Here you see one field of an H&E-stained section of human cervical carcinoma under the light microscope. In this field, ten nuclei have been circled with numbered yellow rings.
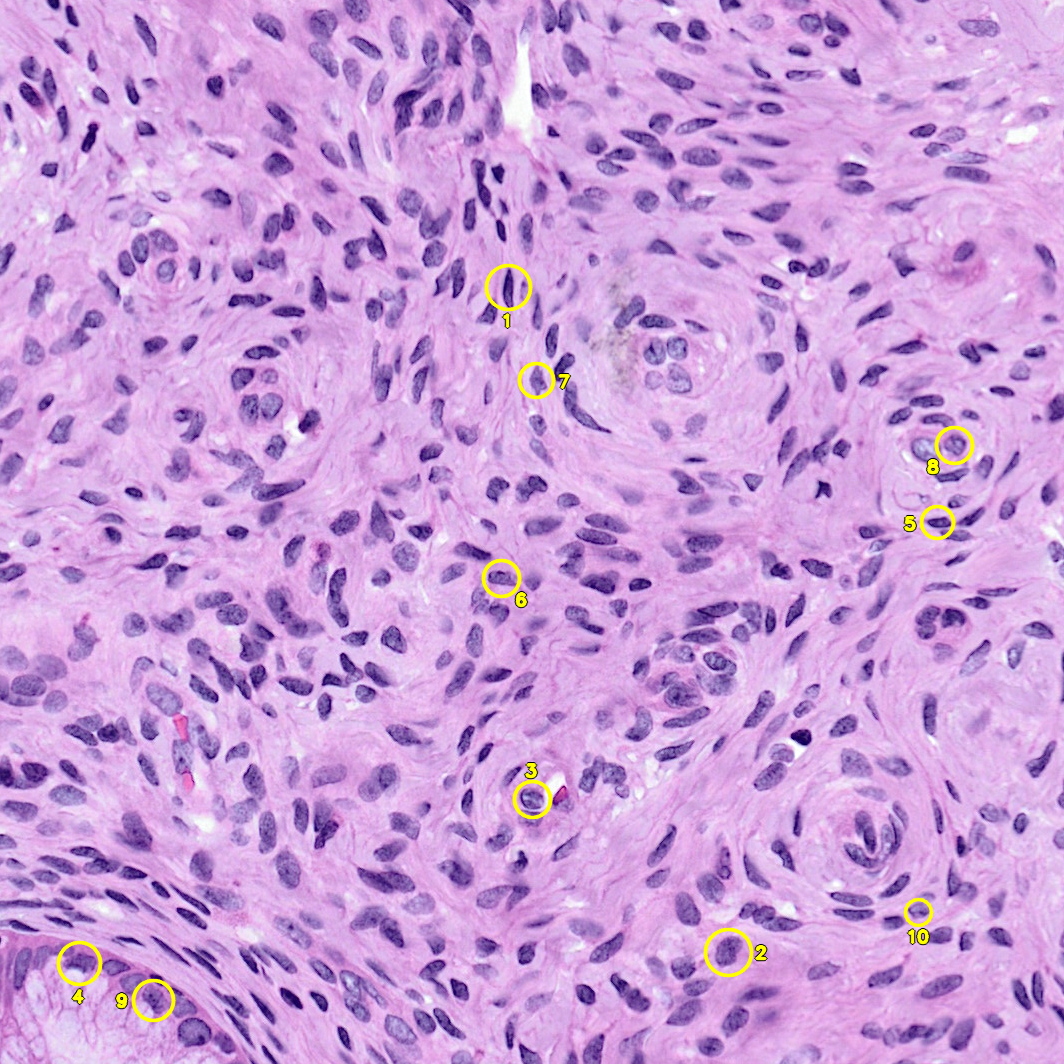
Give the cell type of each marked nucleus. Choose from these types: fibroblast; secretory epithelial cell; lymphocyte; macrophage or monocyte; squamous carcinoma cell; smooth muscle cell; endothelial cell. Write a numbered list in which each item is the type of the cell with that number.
1. fibroblast
2. fibroblast
3. endothelial cell
4. secretory epithelial cell
5. fibroblast
6. fibroblast
7. fibroblast
8. endothelial cell
9. secretory epithelial cell
10. fibroblast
